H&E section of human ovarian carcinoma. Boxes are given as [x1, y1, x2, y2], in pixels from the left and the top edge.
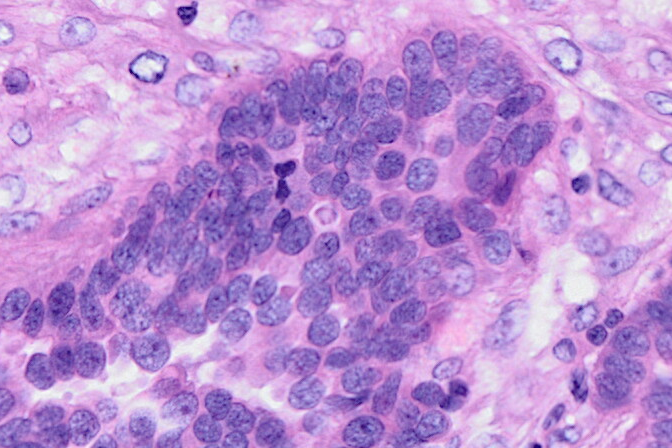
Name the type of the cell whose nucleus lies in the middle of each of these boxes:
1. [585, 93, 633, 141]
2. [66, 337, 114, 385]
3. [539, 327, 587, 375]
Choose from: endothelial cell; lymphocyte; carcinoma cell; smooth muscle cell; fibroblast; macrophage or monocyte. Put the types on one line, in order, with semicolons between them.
fibroblast; carcinoma cell; macrophage or monocyte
